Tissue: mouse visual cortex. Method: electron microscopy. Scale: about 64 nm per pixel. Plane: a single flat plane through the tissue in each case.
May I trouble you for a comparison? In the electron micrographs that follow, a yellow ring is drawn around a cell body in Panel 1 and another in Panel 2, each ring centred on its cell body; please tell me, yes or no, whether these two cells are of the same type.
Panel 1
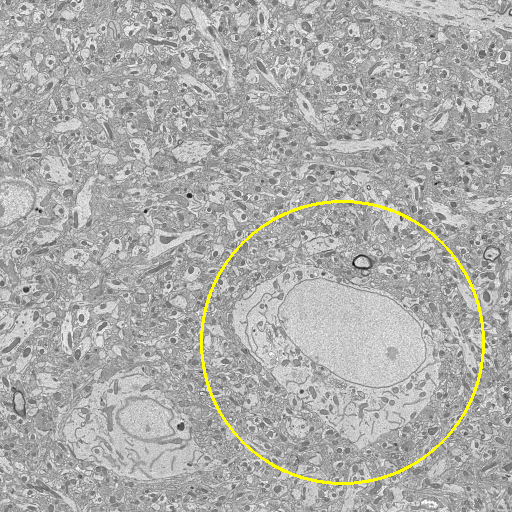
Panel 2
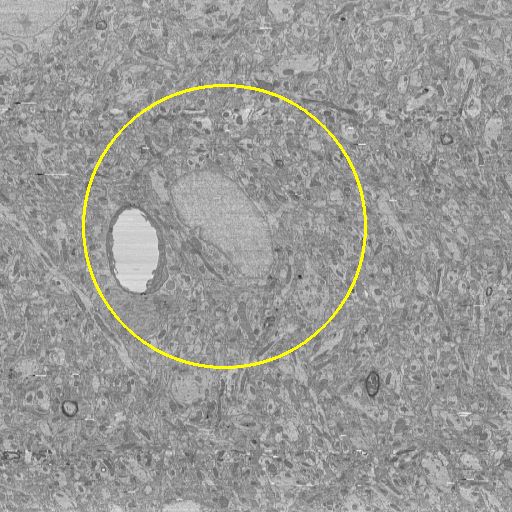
no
